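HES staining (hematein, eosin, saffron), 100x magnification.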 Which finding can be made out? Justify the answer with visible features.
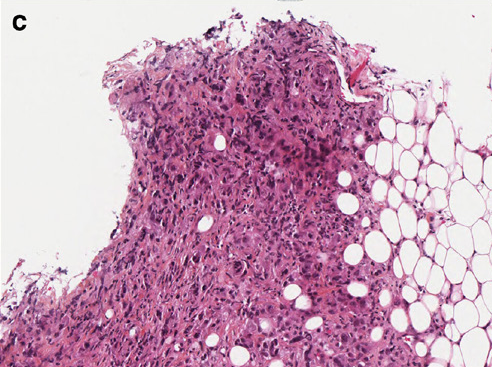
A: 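A dense sheet of cells with large, irregular, dark nuclei fills most of the field. Fat tissue with empty round adipocytes lies beside and within the cell sheet. The answer: a tumor with large, atypical cells.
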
